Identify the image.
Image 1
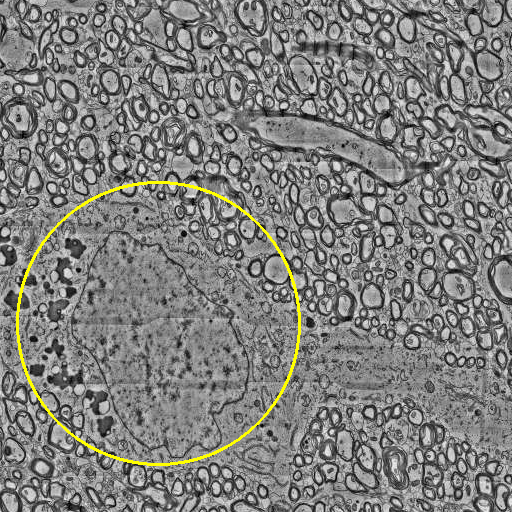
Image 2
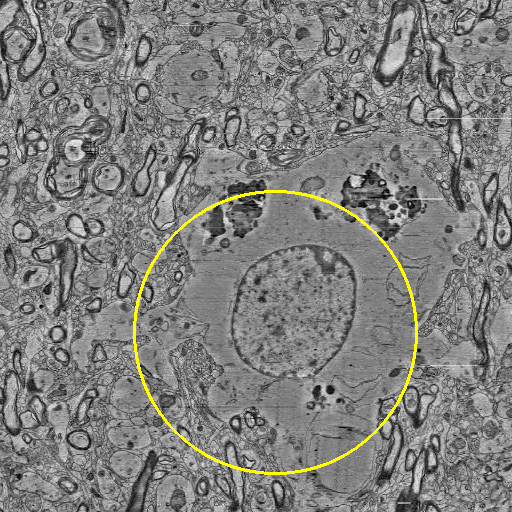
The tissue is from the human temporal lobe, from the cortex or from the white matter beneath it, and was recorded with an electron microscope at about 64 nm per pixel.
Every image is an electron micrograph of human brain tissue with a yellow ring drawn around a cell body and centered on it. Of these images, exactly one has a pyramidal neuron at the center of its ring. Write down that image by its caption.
Image 1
